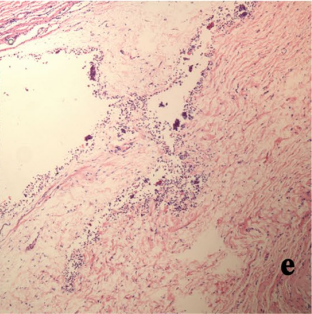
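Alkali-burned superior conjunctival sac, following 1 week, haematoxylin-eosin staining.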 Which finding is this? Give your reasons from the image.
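Necrosis. No intact epithelial lining is seen along the surface. The surface tissue is disrupted, with scattered fragmented debris and dark granular material. Pale, poorly structured fibrous tissue lies beneath.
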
